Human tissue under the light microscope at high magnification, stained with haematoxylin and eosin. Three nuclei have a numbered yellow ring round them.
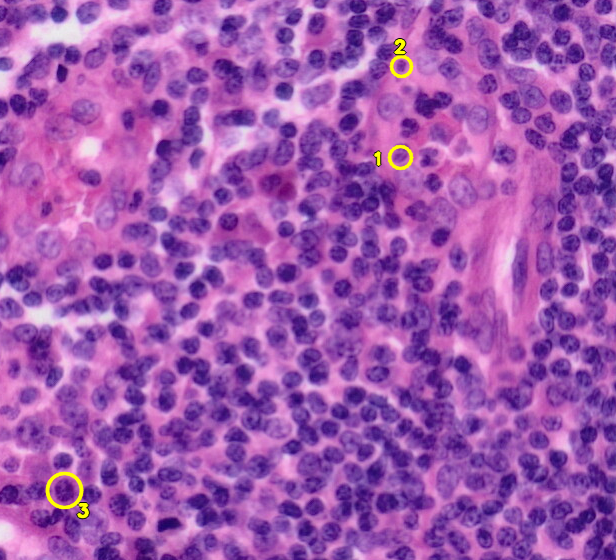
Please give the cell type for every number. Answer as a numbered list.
1. endothelial cell
2. endothelial cell
3. plasma cell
